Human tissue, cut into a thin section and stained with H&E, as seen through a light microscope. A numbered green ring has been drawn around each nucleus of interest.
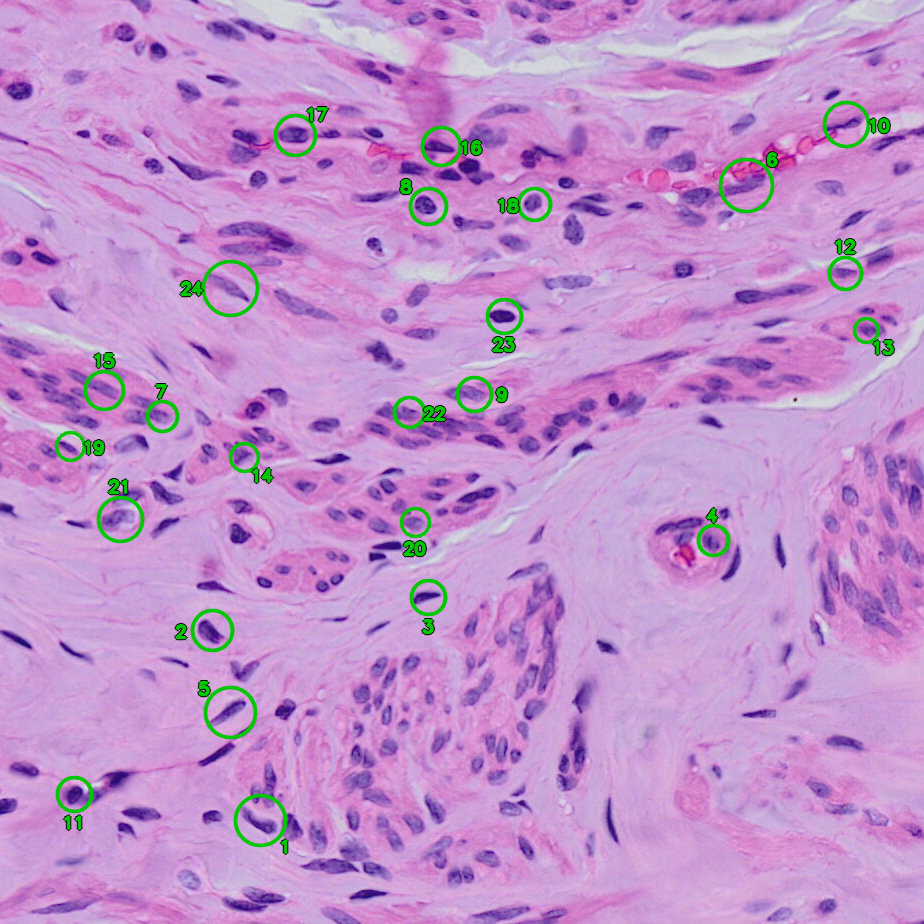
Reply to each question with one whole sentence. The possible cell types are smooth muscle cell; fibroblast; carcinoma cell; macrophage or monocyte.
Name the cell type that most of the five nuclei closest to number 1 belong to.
The majority of the five nuclei closest to number 1 belong to smooth muscle cells.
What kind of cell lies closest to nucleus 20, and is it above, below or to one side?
The nearest nucleus is that of a smooth muscle cell and lies above and to the left of nucleus 20.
